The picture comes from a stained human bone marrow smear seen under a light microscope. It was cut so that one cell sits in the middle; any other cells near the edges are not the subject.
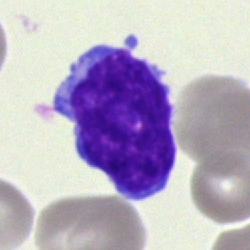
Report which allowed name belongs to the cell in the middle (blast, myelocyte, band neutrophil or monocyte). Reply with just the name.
blast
